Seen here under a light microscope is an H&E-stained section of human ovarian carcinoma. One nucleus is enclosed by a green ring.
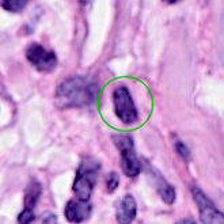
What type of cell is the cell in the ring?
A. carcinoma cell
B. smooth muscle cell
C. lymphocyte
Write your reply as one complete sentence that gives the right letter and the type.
Option C is the correct one: the cell in the ring is a lymphocyte.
